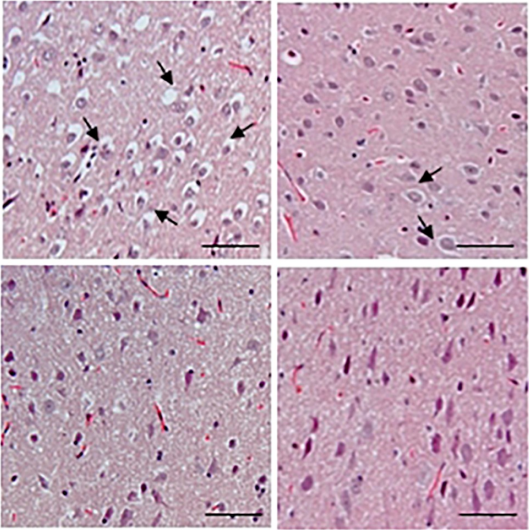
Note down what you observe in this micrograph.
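In the upper two images, many cells are surrounded by clear, unstained spaces, so they look like holes or vacuoles in the tissue. Several of these cells look rounded and swollen, and black arrows point to them. In all four images, small capillaries with bright red blood cells run through the tissue.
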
